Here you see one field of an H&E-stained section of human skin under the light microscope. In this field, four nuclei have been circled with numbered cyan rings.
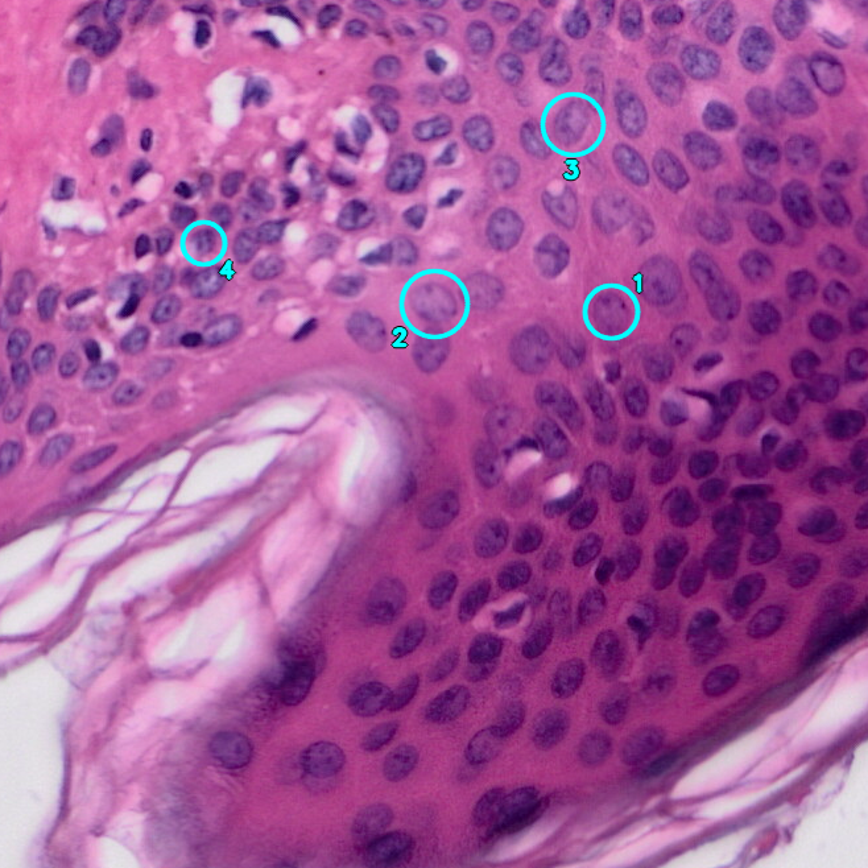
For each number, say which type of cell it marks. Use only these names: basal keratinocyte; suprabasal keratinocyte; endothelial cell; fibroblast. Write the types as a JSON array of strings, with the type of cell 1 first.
["suprabasal keratinocyte", "suprabasal keratinocyte", "suprabasal keratinocyte", "basal keratinocyte"]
